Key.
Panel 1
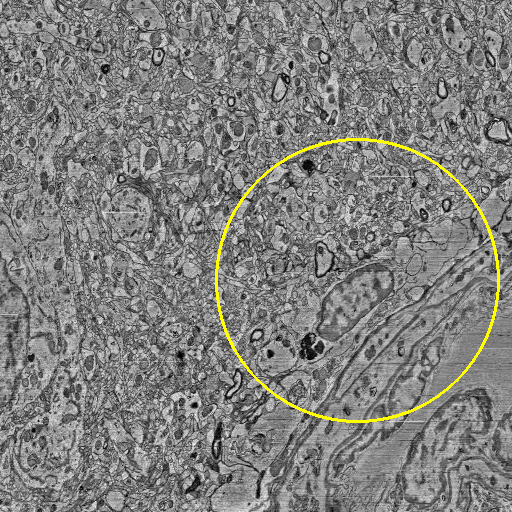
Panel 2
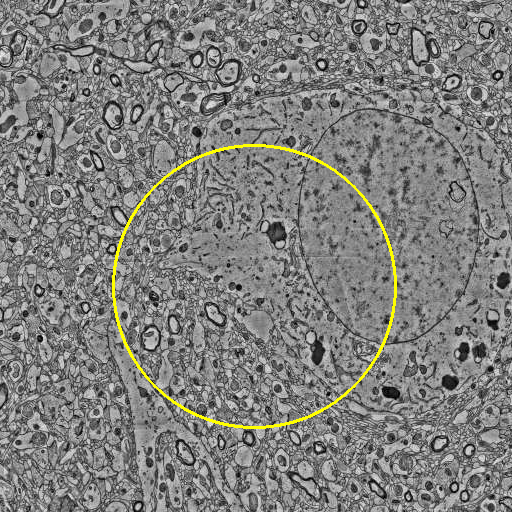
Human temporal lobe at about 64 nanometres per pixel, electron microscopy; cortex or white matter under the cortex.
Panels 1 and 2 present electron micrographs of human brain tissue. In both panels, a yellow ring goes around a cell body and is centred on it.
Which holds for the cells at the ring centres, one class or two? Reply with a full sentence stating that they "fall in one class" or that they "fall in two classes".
Taken together, the ring-centre cells of the two panels fall in one class.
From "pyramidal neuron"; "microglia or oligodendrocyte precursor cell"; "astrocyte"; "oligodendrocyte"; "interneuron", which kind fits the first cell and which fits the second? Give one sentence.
Both rings mark a microglial cell or oligodendrocyte precursor cell, one in each picture.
